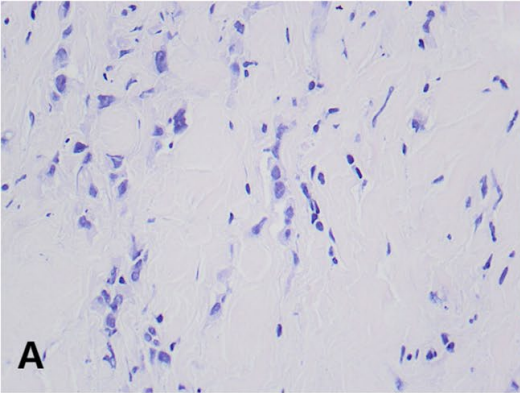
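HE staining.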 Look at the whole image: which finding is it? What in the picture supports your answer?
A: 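Invasive lobular carcinoma. Small tumor cells lie singly and in single-file strands within pale fibrous stroma. No glands or tubules are formed.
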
